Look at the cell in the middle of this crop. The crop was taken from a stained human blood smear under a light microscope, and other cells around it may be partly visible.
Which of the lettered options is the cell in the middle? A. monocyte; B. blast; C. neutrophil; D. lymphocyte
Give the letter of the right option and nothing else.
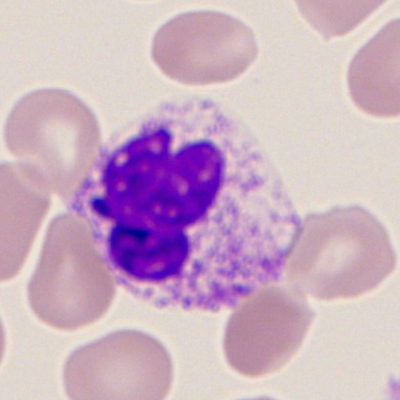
C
